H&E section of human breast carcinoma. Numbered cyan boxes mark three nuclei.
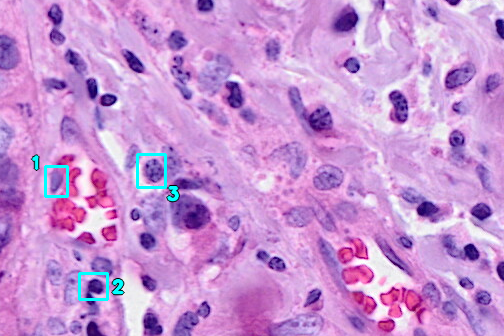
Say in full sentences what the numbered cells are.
Cell 1 is an endothelial cell, cell 2 is a lymphocyte and cell 3 is a mast cell.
